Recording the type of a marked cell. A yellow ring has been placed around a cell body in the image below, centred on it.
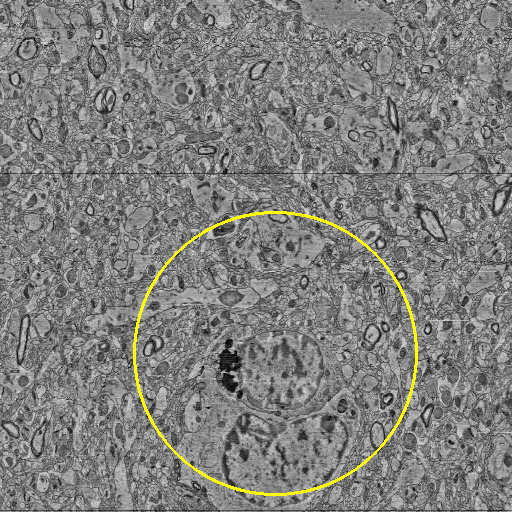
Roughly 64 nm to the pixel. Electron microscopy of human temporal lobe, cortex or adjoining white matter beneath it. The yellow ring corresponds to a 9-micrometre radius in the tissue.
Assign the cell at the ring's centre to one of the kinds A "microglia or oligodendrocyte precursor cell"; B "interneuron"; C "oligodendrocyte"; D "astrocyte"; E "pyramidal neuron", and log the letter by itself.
C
